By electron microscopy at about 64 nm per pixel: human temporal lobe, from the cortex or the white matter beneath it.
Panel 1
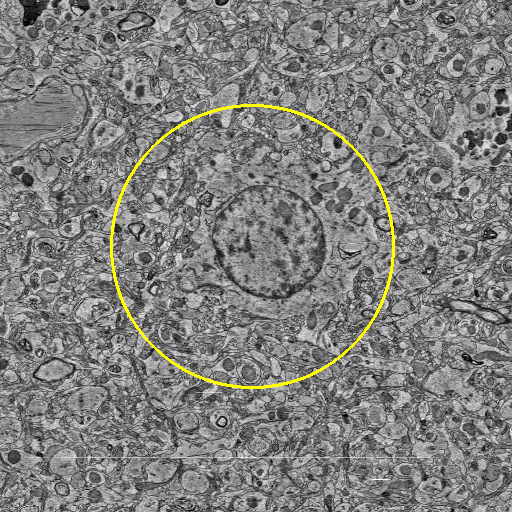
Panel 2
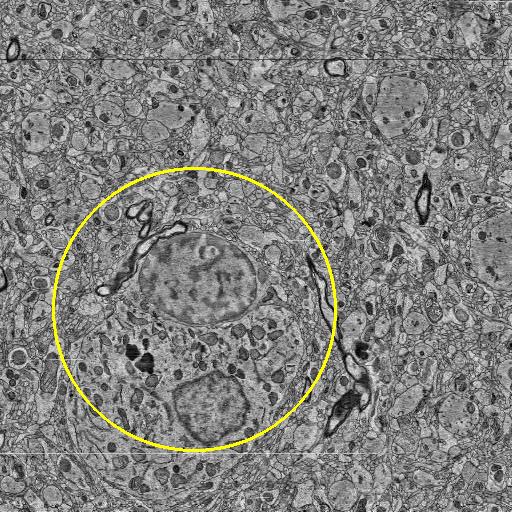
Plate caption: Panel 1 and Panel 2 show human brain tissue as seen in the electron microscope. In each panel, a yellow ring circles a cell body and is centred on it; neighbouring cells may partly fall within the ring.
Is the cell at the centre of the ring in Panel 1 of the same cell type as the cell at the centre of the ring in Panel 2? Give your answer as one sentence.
No, the two cells are of two types.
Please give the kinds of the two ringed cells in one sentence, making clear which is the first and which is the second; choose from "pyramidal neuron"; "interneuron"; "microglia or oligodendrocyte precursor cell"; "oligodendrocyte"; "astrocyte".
In the second picture the ringed cell is an oligodendrocyte; in the first it is an astrocyte.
